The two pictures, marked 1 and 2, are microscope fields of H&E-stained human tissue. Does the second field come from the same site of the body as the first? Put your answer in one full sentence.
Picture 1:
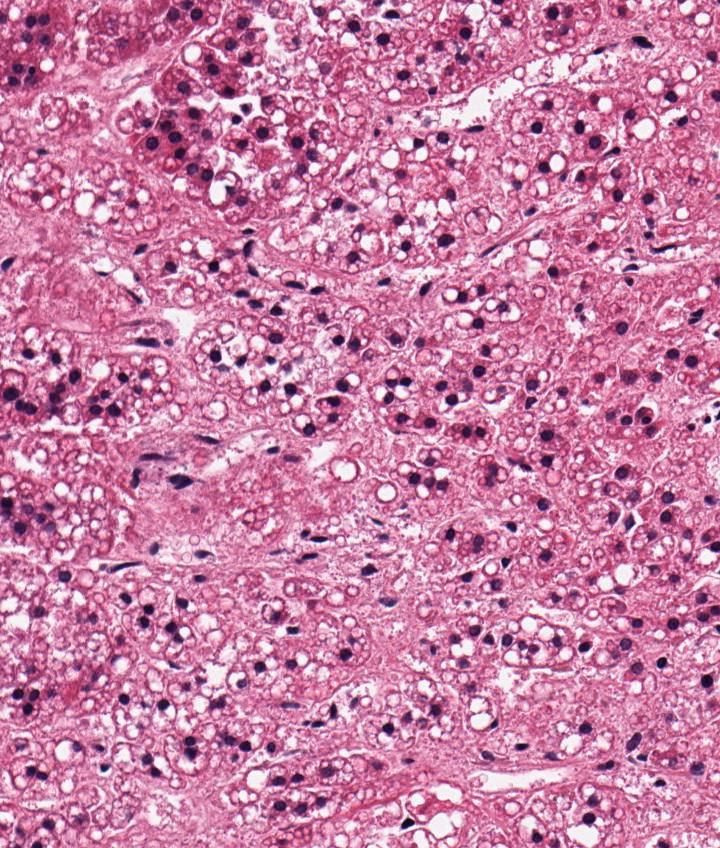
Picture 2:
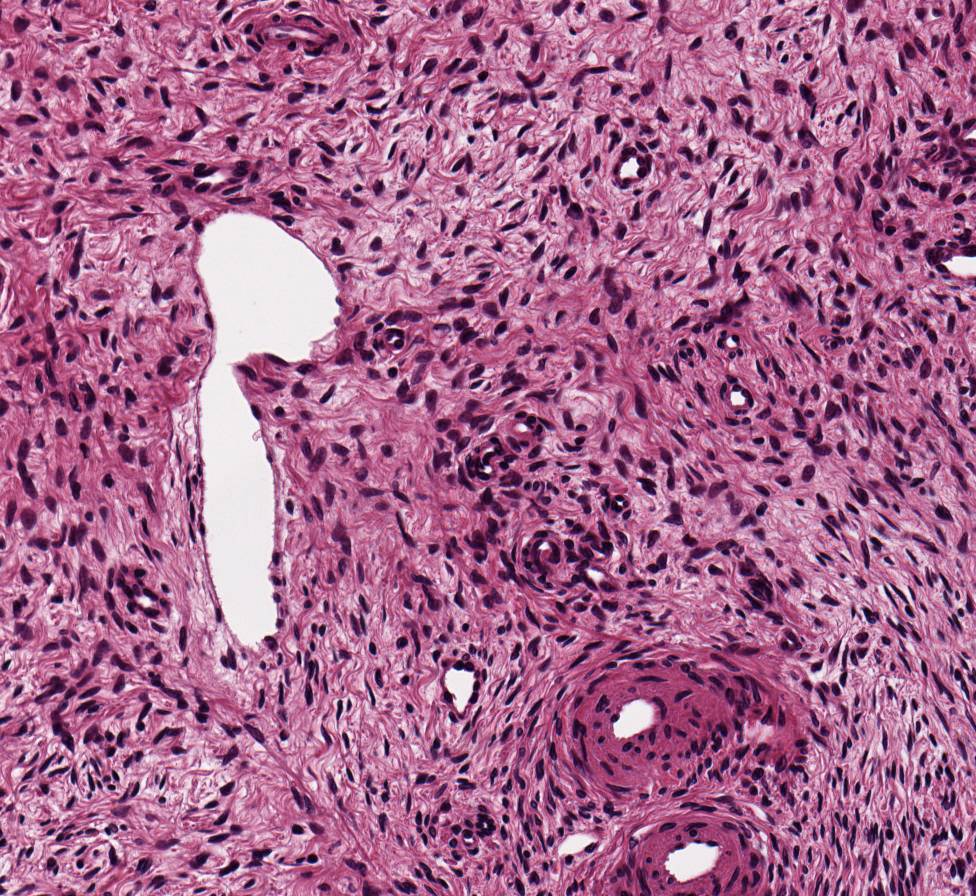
No, they differ: picture 1 comes from the adrenal gland, and picture 2 comes from the ovary.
